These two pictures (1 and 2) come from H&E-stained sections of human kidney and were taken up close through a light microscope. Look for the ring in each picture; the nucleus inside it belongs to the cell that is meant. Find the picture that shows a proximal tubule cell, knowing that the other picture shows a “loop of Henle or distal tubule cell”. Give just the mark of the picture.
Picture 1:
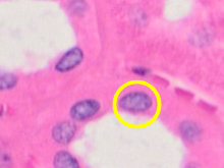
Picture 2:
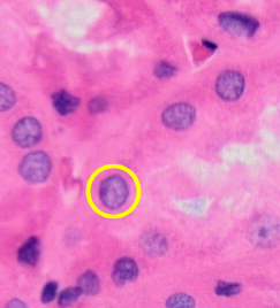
2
